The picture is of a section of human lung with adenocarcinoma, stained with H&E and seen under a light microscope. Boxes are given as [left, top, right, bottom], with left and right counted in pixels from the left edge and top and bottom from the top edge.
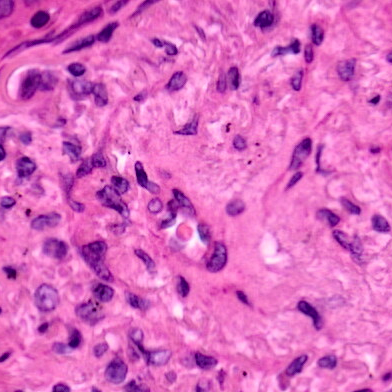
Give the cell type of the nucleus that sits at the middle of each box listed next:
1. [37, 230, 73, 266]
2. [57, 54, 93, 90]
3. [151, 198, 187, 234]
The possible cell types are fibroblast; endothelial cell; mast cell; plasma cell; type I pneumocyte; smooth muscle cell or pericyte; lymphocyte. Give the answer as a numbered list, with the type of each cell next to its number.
1. plasma cell
2. lymphocyte
3. endothelial cell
